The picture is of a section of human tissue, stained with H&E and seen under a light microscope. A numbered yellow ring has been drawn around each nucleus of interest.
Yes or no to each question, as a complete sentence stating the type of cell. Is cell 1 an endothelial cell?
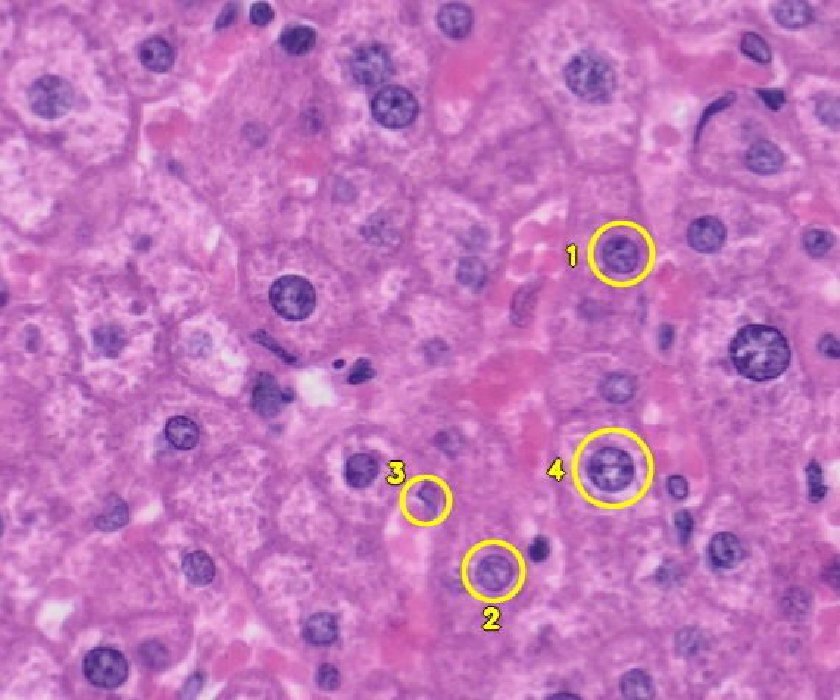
No, the cell labelled number 1 is not an endothelial cell; it is a hepatocyte.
